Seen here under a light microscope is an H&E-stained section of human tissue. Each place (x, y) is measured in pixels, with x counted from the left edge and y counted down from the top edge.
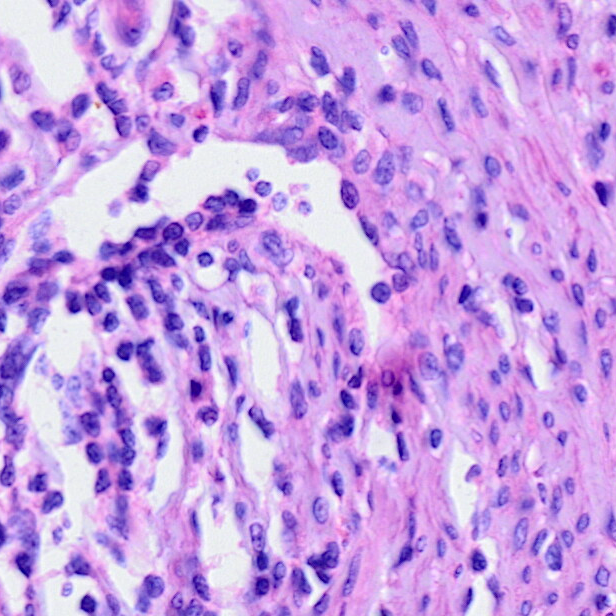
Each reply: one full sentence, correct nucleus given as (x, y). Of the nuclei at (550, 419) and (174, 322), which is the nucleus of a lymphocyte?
The one at (174, 322) is the nucleus belonging to a lymphocyte, not the other one.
